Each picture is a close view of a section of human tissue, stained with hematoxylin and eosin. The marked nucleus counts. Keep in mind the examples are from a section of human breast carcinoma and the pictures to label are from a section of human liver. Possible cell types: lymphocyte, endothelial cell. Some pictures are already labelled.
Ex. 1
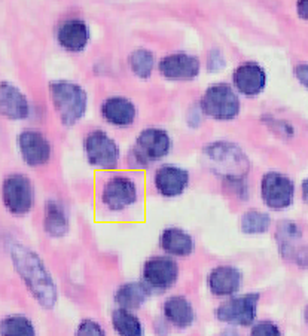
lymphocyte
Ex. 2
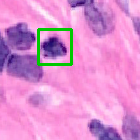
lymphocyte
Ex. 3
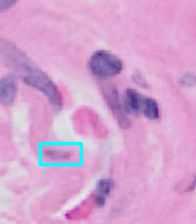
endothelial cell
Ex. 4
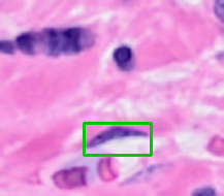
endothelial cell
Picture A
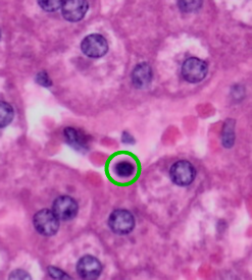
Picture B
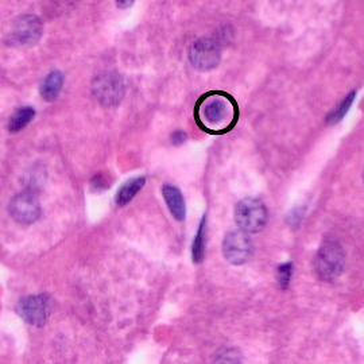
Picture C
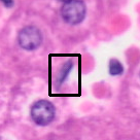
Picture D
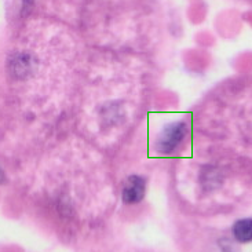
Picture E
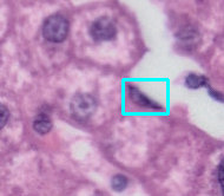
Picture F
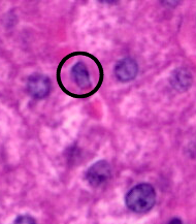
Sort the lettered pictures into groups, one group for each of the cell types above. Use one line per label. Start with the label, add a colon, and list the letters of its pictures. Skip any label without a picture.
lymphocyte: A, B
endothelial cell: C, D, E, F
